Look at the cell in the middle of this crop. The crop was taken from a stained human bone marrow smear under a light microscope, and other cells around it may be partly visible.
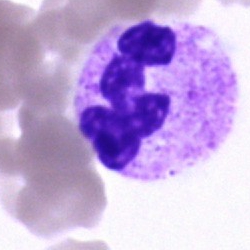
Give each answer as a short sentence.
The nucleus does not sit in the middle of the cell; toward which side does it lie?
Toward the left of the cell lies its nucleus.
